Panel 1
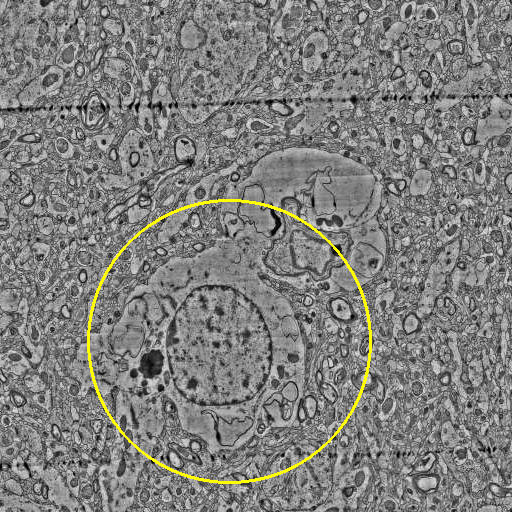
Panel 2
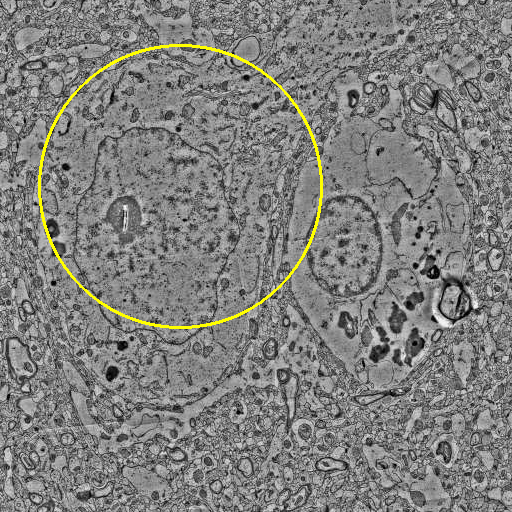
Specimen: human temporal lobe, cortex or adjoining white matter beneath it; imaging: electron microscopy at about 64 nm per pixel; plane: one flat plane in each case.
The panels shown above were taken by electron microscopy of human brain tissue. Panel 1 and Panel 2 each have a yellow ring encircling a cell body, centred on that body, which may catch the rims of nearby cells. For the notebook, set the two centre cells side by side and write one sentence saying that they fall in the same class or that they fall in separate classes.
The centred cells of Panel 1 and Panel 2 fall in separate classes.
